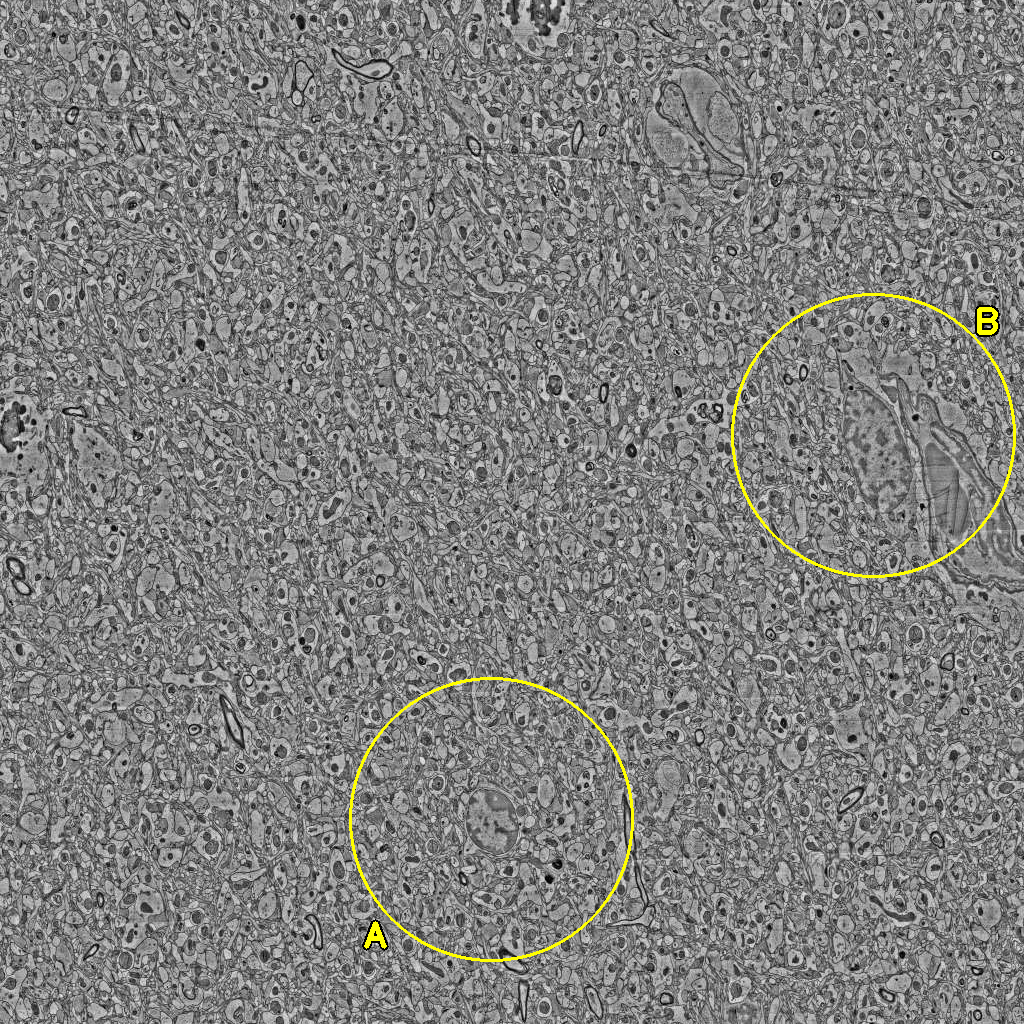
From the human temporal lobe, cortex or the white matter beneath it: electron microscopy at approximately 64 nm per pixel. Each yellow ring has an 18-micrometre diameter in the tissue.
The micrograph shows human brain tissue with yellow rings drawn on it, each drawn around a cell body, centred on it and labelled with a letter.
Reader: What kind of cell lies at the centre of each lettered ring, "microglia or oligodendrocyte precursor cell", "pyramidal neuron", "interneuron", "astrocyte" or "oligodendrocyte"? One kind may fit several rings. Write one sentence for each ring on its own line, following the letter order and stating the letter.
At the centre of ring A lies a microglial cell or oligodendrocyte precursor cell.
At the centre of ring B lies an oligodendrocyte.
